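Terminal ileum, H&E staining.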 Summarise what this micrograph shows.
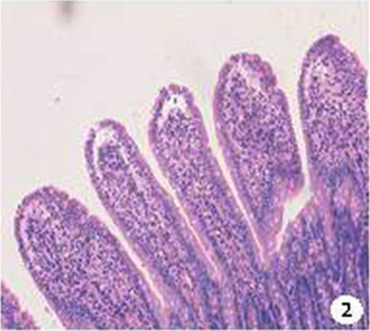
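This shows broad villi of the ileal mucosa at low magnification, each lined by a single layer of columnar epithelial cells around a densely cellular purple core. At the tips of several villi, clear unstained spaces have opened between the epithelial layer and the core. In places the epithelium appears lifted from the tissue beneath it. The villi are wide and rounded at their ends. Toward the bottom of the field the bases of the villi crowd together into denser purple tissue.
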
